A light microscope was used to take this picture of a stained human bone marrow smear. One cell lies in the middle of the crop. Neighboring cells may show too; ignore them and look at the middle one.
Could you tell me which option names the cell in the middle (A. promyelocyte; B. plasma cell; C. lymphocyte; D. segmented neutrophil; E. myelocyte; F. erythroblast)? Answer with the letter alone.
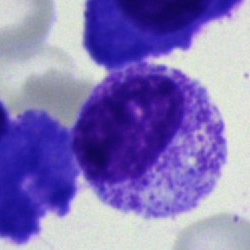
E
